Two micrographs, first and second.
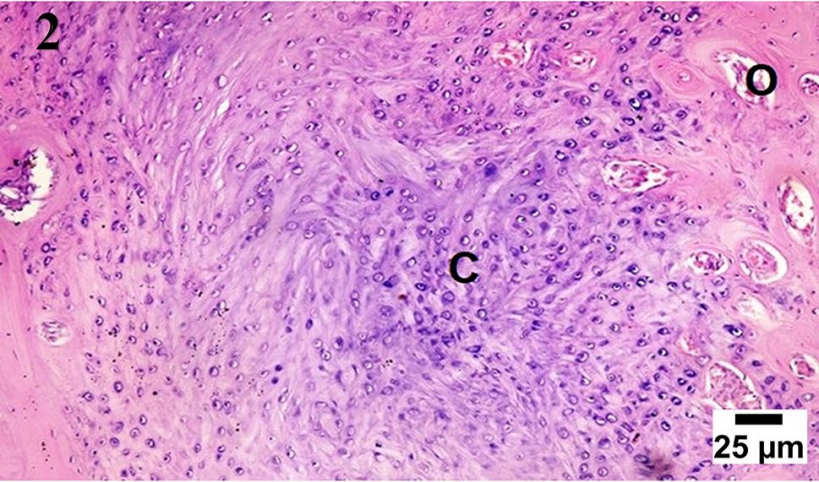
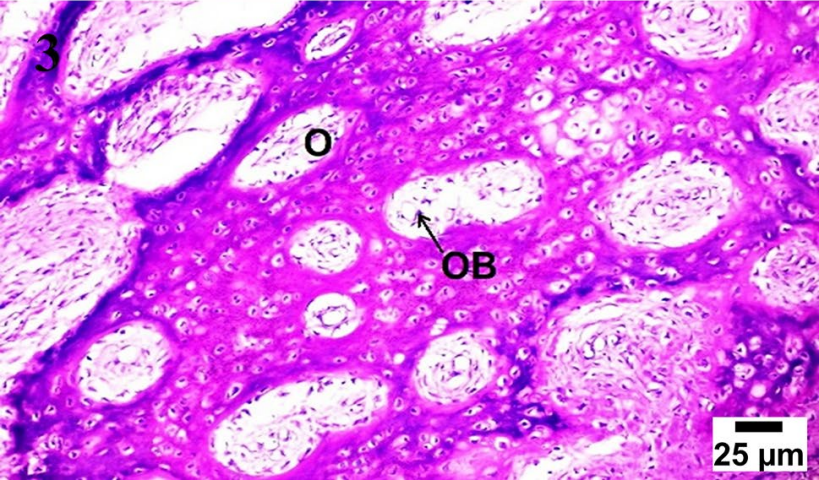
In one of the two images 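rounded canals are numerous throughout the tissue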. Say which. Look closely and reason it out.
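Second image: many round pale canals are scattered across the whole field.
The second image.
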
